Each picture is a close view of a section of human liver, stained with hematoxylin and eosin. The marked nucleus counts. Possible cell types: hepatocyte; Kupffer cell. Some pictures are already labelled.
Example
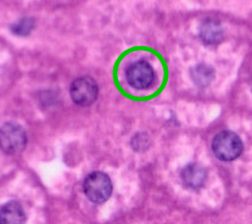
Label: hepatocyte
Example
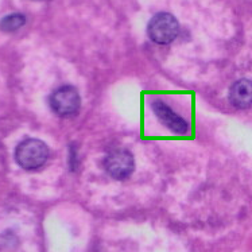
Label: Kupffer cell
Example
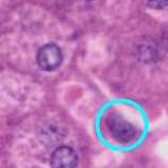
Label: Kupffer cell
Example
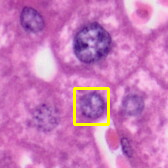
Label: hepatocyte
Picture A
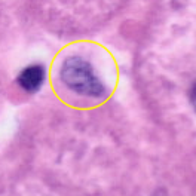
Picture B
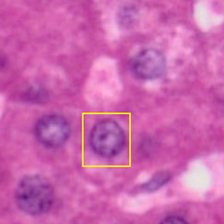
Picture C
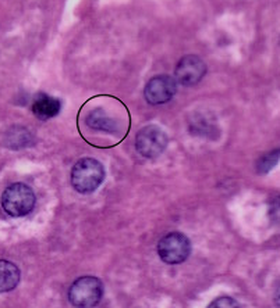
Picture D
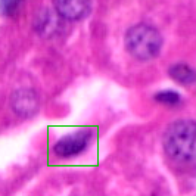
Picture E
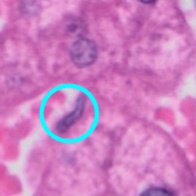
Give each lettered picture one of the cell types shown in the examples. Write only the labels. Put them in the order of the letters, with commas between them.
Kupffer cell, hepatocyte, Kupffer cell, Kupffer cell, Kupffer cell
